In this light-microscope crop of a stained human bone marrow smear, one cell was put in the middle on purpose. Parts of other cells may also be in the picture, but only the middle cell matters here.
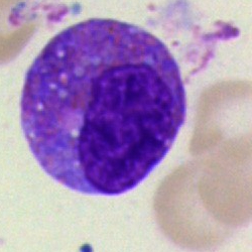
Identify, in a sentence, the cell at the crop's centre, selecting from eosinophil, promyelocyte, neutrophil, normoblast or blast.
Located at the centre of the crop is an eosinophil.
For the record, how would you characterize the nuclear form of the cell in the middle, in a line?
Between us, the nucleus here is just one compact mass, round, oval or kidney-shaped.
